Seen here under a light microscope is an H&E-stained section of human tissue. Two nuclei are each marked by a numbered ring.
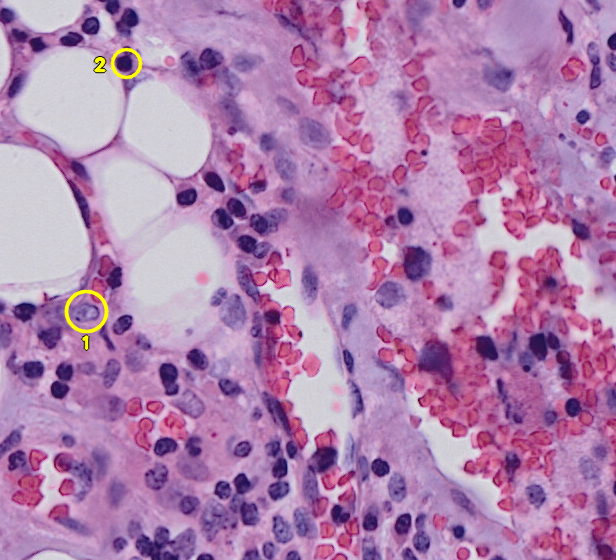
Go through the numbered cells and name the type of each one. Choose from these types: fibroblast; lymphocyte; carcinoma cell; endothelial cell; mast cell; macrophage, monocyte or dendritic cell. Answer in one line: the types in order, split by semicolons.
endothelial cell; lymphocyte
